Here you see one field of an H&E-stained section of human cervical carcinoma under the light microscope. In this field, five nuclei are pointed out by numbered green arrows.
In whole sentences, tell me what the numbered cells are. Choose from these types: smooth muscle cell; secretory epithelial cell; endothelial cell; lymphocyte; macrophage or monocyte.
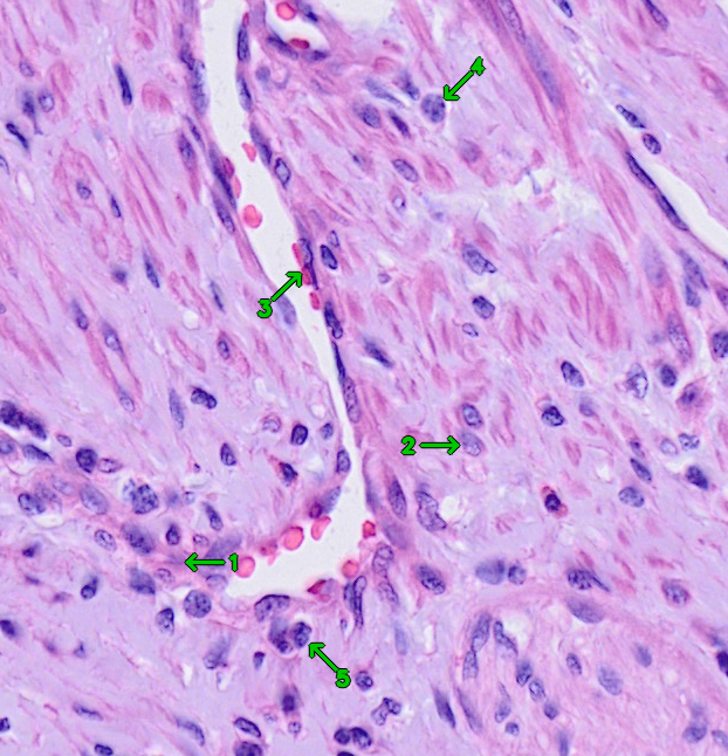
Cells 1 and 3 are endothelial cells. Cell 2 is a smooth muscle cell. Cells 4 and 5 are lymphocytes.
